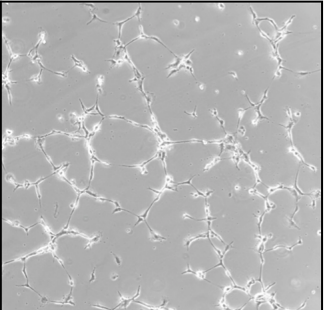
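Endothelial cells on a gel surface are seen in phase contrast, drawn out into thin, bright-edged cords. The cords run between small clusters of cells and join one another at branch points. Together they outline closed, roughly polygonal open spaces, giving a mesh that spreads over most of the field. A few rounded single cells lie apart from the network. This is the pattern of capillary-like tubules laid out in a honeycomb-like network.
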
